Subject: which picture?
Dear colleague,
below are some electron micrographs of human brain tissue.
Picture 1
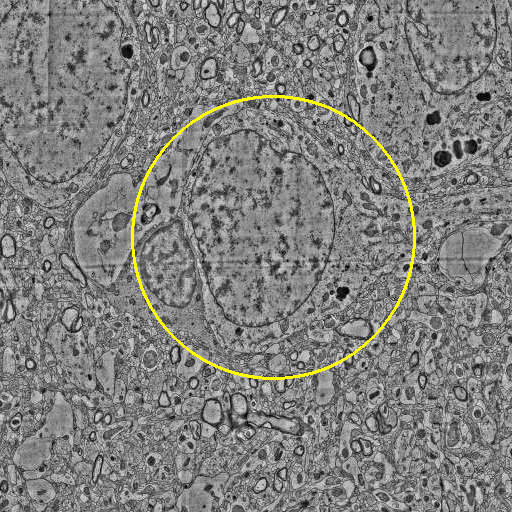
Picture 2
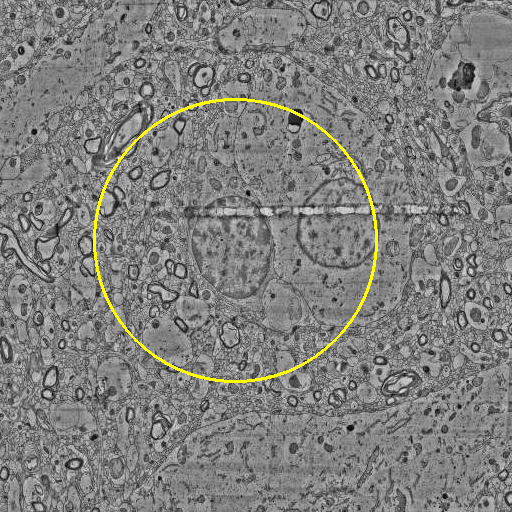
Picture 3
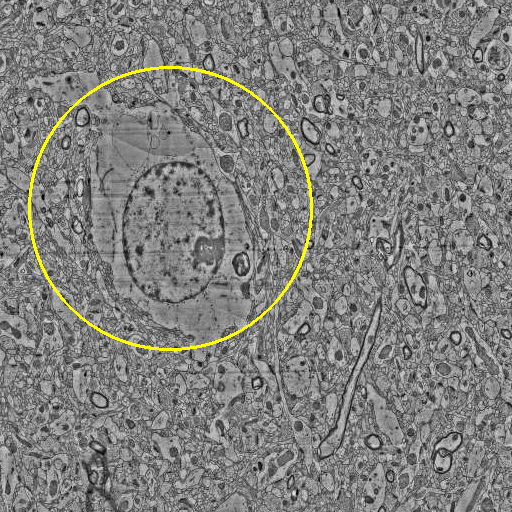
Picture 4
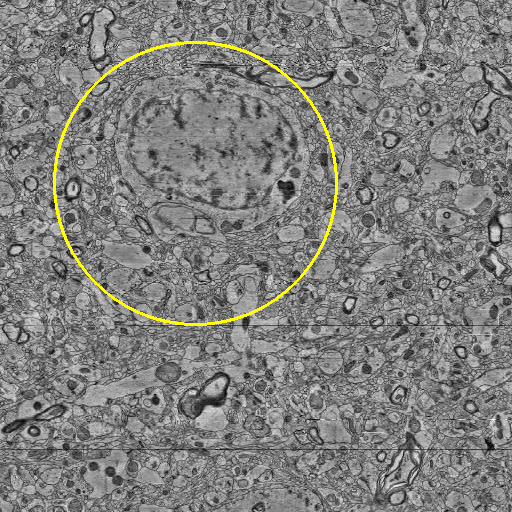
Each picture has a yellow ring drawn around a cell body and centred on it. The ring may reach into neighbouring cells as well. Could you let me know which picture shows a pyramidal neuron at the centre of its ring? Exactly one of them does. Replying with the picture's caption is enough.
Picture 1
